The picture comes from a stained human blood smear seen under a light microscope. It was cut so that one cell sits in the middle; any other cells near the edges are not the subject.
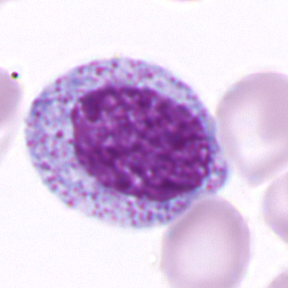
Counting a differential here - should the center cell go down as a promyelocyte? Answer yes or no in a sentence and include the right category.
Yes, the centrally placed cell is a promyelocyte.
